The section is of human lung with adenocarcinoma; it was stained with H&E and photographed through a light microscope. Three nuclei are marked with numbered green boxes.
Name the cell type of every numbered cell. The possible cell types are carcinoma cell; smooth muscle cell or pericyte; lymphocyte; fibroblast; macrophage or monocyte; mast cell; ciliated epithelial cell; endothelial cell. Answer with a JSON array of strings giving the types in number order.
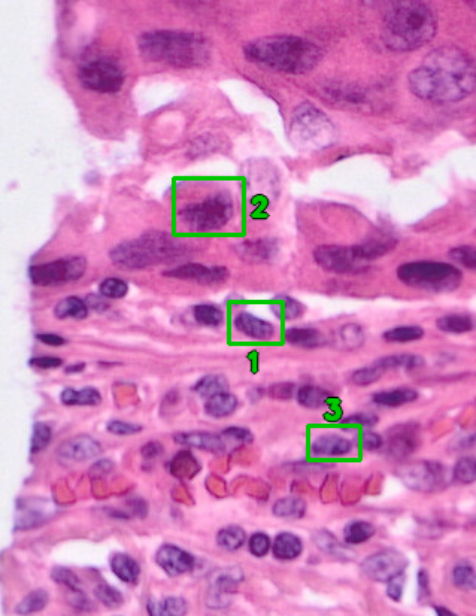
["lymphocyte", "carcinoma cell", "lymphocyte"]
